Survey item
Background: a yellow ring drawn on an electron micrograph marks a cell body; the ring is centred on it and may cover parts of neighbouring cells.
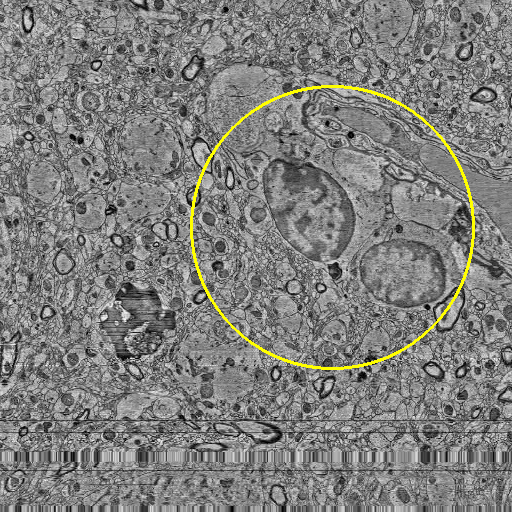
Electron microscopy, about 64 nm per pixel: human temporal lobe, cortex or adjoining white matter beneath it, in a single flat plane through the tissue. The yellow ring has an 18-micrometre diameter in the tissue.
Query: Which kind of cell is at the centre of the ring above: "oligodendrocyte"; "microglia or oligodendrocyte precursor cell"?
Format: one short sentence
The cell in the middle of the ring is a microglial cell or oligodendrocyte precursor cell.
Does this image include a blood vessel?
Yes, one is visible.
